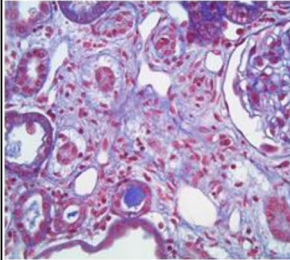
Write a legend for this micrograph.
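This is kidney cortex with a glomerulus at the upper right and tubules spread around a broad central zone of interstitium. The interstitium between the tubules is widened and holds pale blue fibrillar material with many scattered nuclei. The tubular epithelial cells have reddish cytoplasm and round nuclei, and several tubules are dilated with thin walls. One tubular lumen holds a round blue-stained cast.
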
